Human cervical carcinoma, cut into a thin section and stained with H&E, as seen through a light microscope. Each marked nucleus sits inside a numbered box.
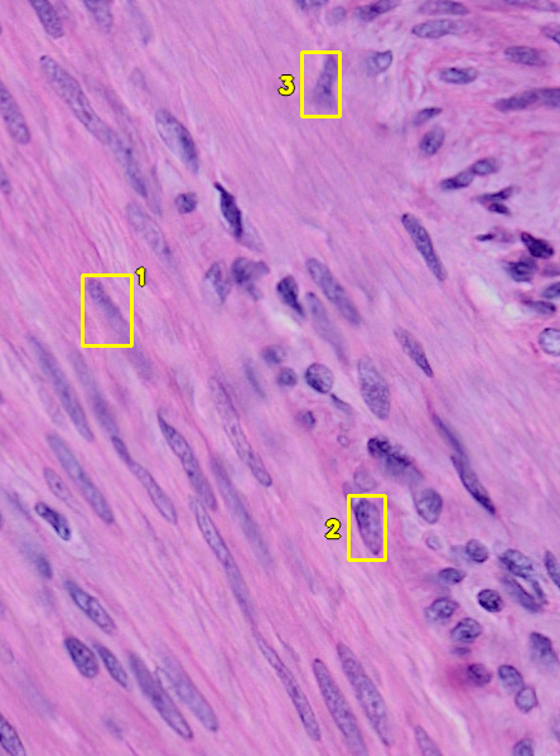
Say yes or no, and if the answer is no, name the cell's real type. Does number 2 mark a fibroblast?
No, it is a smooth muscle cell.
